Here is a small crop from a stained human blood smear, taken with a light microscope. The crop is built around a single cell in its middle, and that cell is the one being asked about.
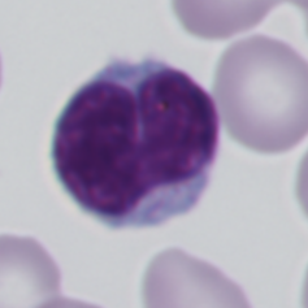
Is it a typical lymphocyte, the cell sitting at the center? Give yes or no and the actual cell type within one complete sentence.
Yes, the identity of the central cell is that of a typical lymphocyte.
